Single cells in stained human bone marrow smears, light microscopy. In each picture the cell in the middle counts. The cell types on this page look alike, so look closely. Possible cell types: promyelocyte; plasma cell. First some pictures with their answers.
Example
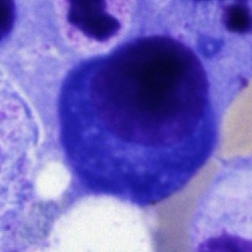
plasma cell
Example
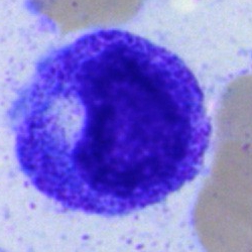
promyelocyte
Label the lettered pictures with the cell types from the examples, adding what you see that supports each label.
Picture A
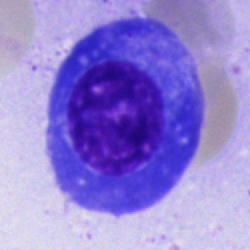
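plasma cell. Reason: The chromatin is dark purple and coarsely clumped, with paler gaps between the clumps.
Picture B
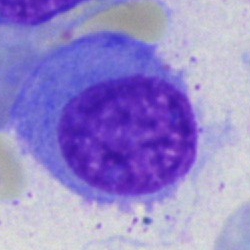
plasma cell. Reason: The chromatin is coarsely clumped, with small paler gaps between dark purple masses.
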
